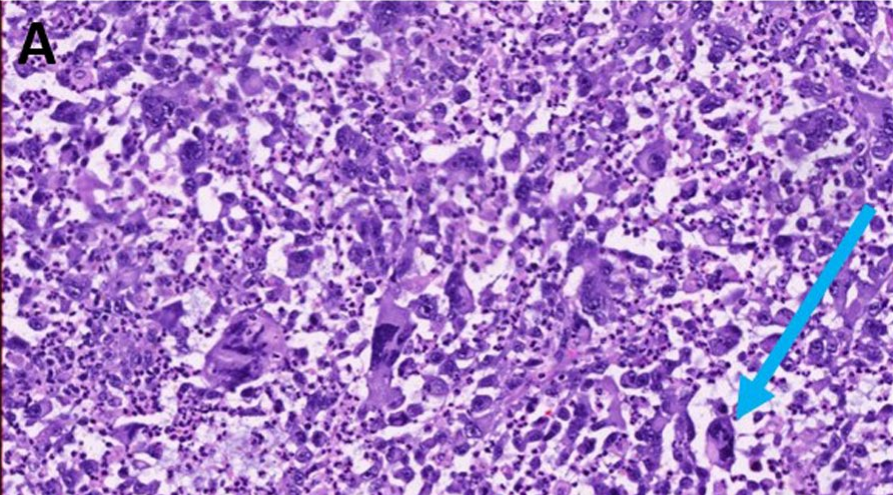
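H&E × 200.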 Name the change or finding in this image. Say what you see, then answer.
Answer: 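Bizarre nuclei. Many large cells have big, irregular, darkly stained nuclei. Nuclear size varies greatly from cell to cell. Some cells are giant with multiple or lobed nuclei.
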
